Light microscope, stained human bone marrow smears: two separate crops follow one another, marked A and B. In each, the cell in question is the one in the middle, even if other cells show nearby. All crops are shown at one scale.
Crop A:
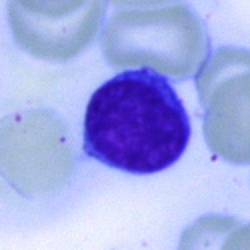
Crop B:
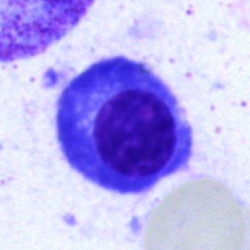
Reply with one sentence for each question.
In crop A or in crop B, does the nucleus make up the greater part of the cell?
Of the two, the nucleus in crop A makes up the greater part of its cell.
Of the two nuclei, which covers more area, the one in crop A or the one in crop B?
Crop A shows the larger nucleus; it covers about 1.5 times the area of the nucleus in crop B.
